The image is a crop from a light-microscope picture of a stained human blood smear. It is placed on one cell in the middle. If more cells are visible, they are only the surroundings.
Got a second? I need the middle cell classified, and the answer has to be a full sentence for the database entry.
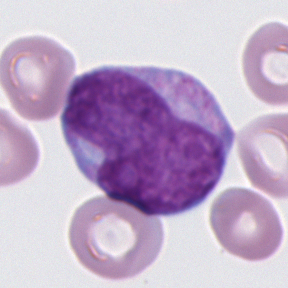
The cell around which this crop is centred is an atypical promyelocyte.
